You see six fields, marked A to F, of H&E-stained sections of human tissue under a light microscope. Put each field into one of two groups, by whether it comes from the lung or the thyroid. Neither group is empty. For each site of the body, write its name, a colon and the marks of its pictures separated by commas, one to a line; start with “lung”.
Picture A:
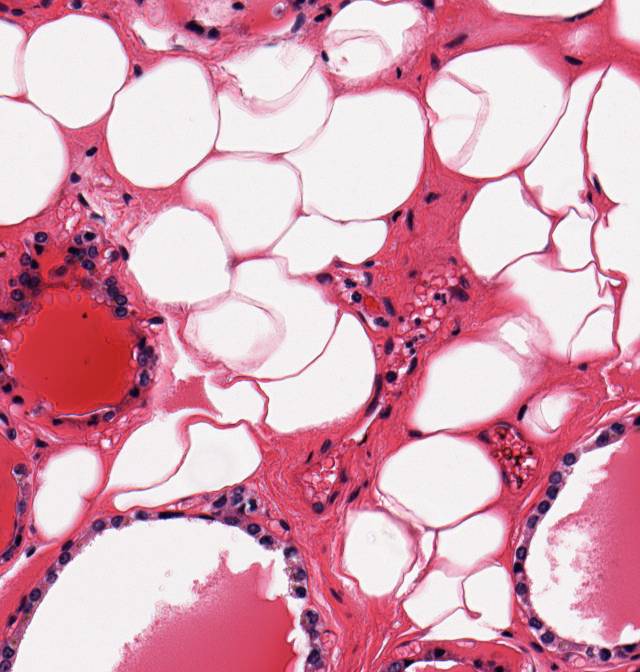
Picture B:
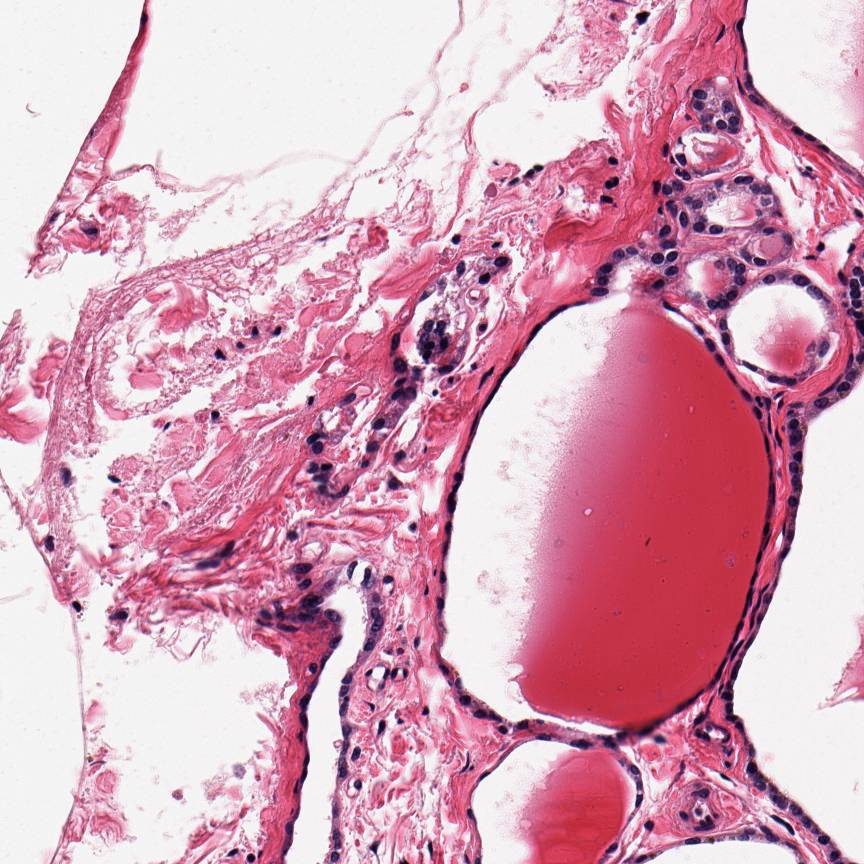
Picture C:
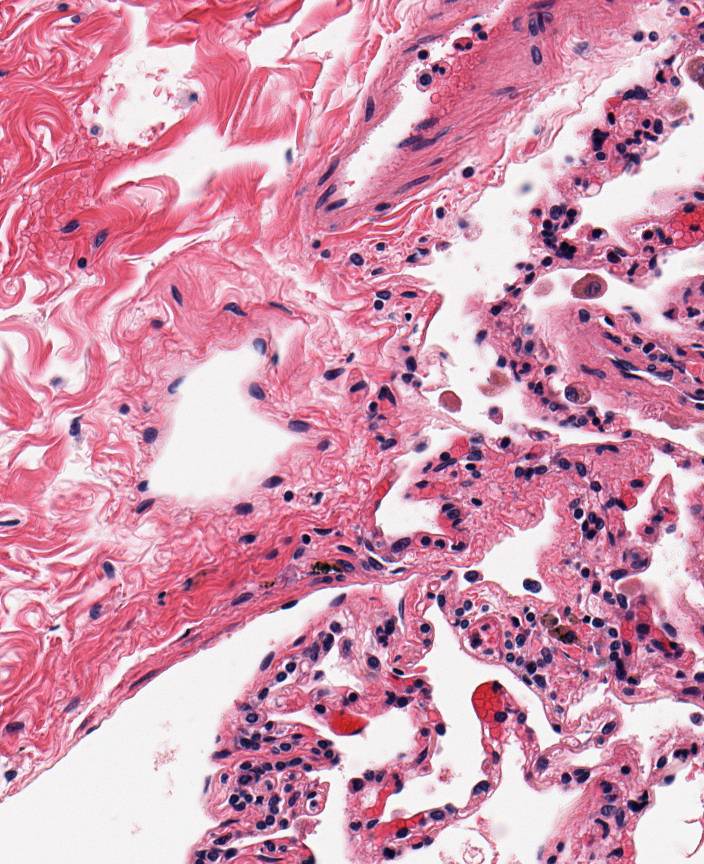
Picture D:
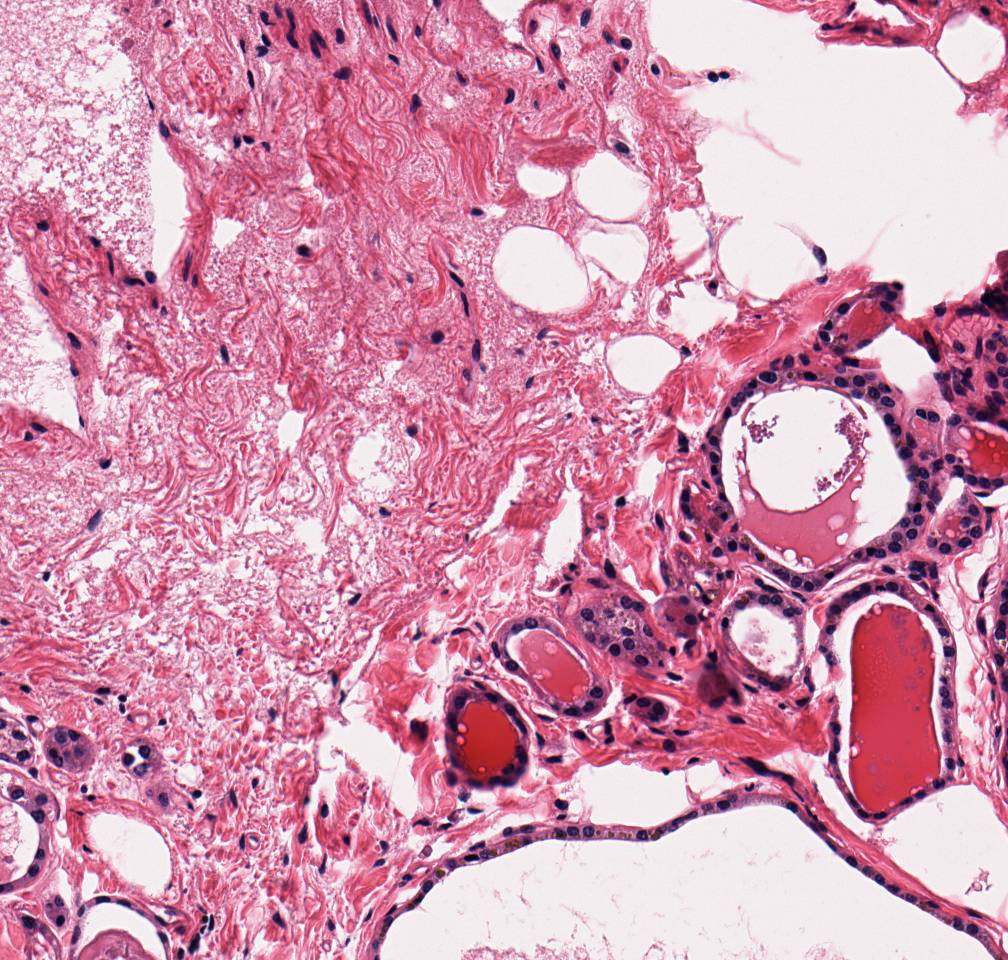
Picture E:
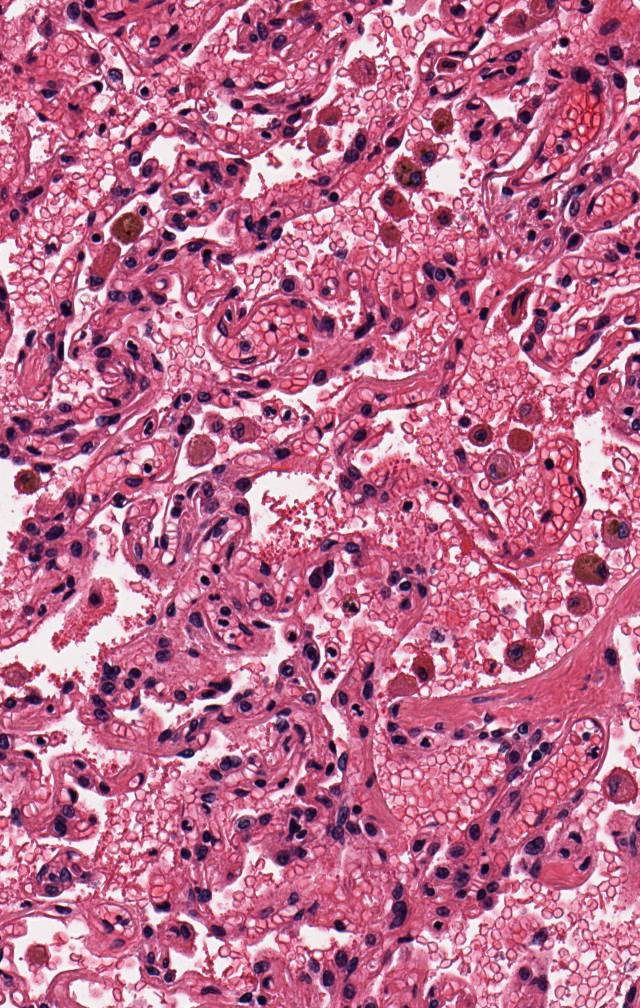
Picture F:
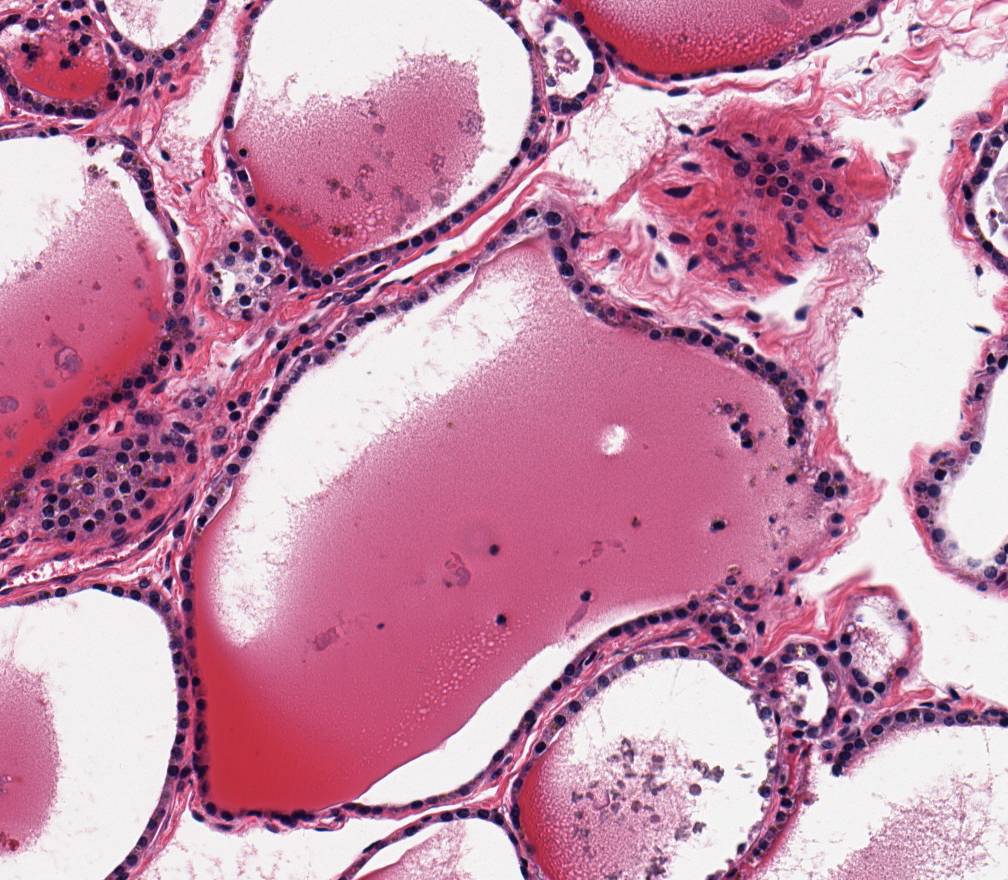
lung: C, E
thyroid: A, B, D, F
